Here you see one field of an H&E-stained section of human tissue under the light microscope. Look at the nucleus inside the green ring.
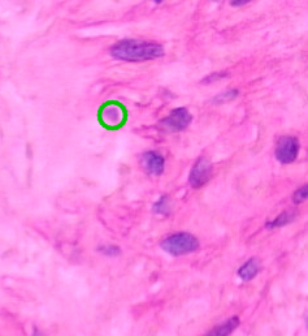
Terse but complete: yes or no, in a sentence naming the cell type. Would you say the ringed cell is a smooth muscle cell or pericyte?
Yes, as far as cell type goes, the ringed cell is a smooth muscle cell or pericyte.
